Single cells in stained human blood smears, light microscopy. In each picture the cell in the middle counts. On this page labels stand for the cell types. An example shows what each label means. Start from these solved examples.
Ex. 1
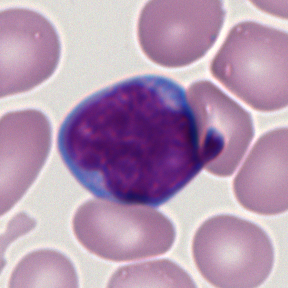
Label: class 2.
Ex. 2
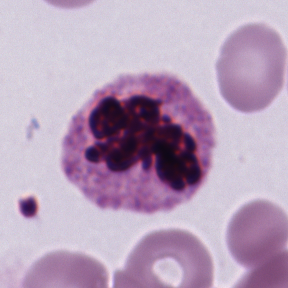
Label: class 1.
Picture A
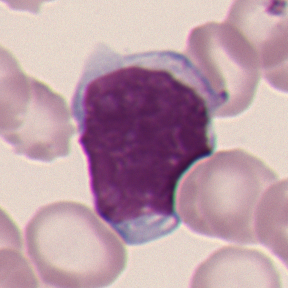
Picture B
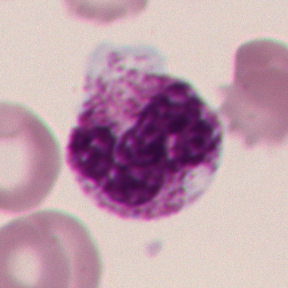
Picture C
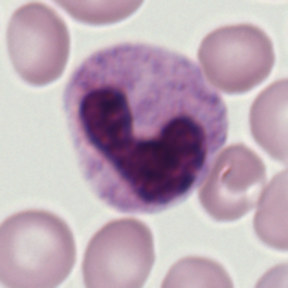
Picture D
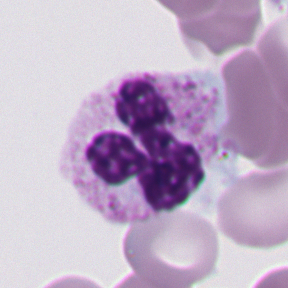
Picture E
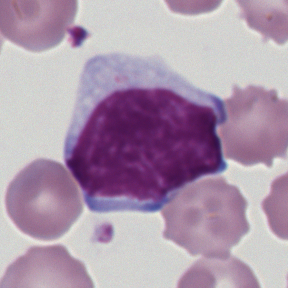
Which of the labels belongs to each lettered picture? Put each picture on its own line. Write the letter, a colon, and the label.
A: class 2.
B: class 1.
C: class 1.
D: class 1.
E: class 2.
